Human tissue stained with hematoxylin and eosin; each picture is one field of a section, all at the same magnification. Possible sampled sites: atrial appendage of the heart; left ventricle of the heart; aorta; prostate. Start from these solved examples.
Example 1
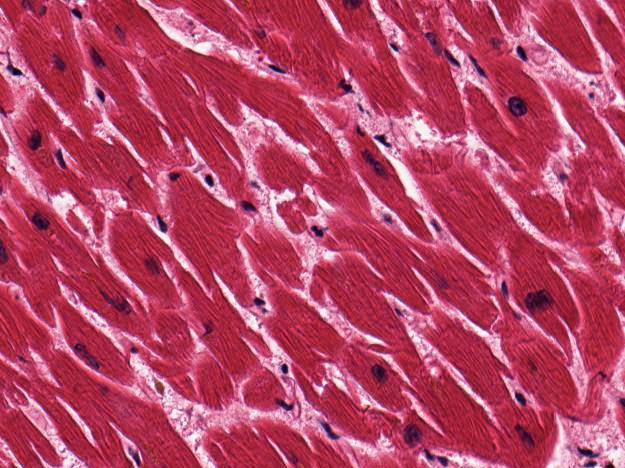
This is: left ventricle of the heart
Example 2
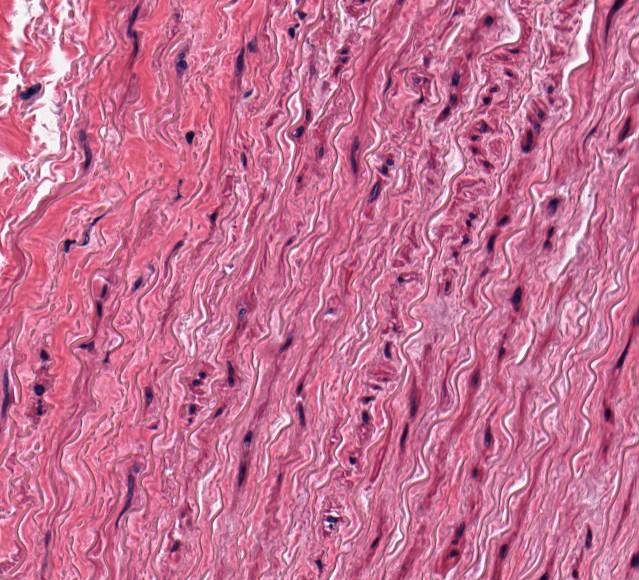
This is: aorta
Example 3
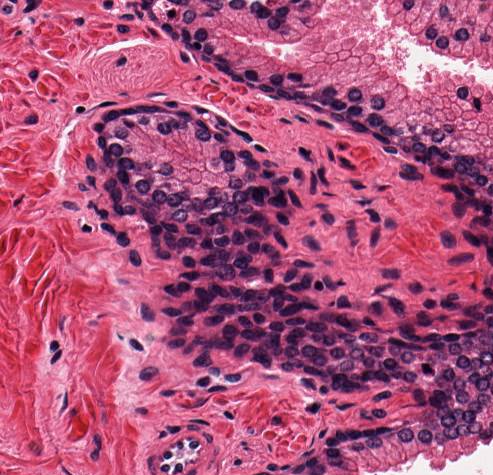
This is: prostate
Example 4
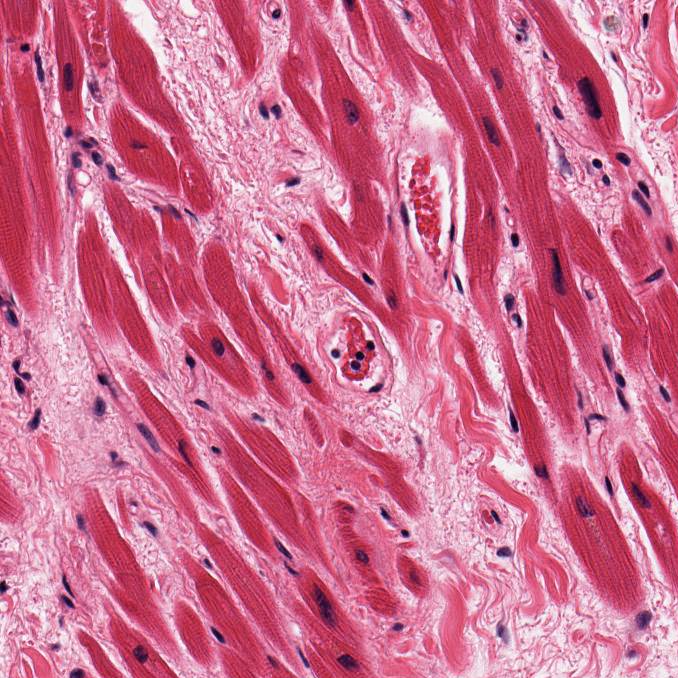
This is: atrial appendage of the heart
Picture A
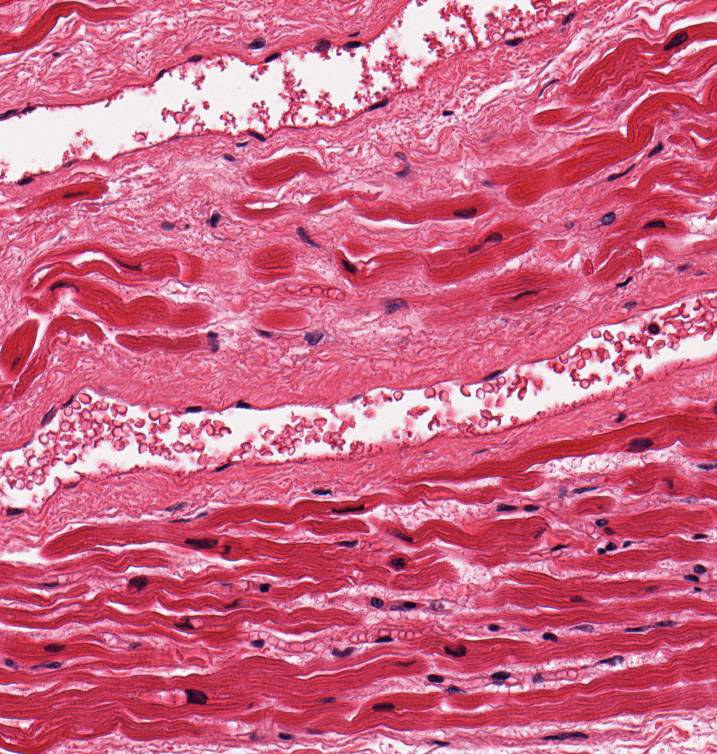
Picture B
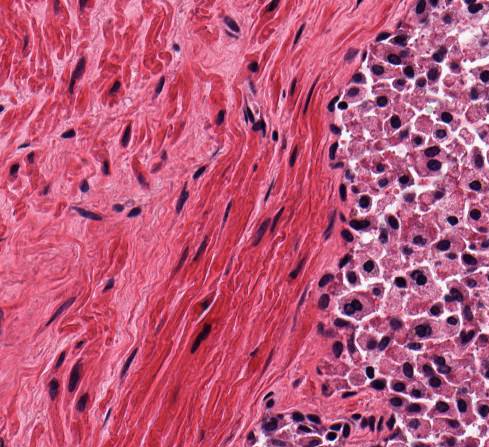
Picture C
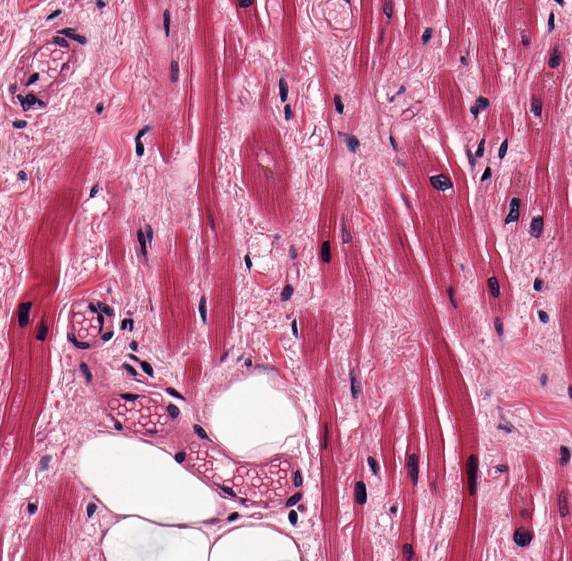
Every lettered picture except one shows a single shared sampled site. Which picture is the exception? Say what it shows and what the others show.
B (prostate) is the exception; every other picture is atrial appendage of the heart.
